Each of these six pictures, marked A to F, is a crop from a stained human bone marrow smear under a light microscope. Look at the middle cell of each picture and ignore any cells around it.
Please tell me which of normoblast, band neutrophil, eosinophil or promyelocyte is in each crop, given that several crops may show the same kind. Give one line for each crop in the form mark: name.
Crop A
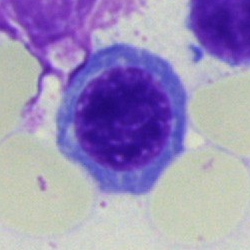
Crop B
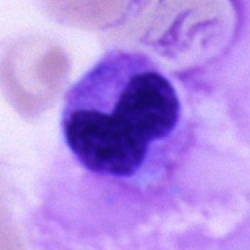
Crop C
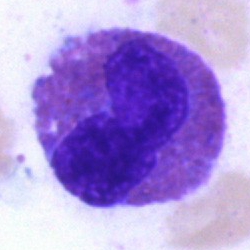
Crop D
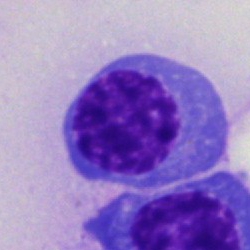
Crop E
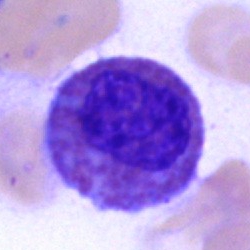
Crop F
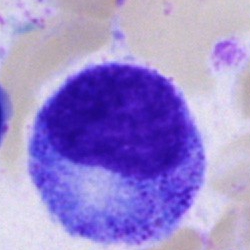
A: normoblast
B: band neutrophil
C: eosinophil
D: normoblast
E: eosinophil
F: promyelocyte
